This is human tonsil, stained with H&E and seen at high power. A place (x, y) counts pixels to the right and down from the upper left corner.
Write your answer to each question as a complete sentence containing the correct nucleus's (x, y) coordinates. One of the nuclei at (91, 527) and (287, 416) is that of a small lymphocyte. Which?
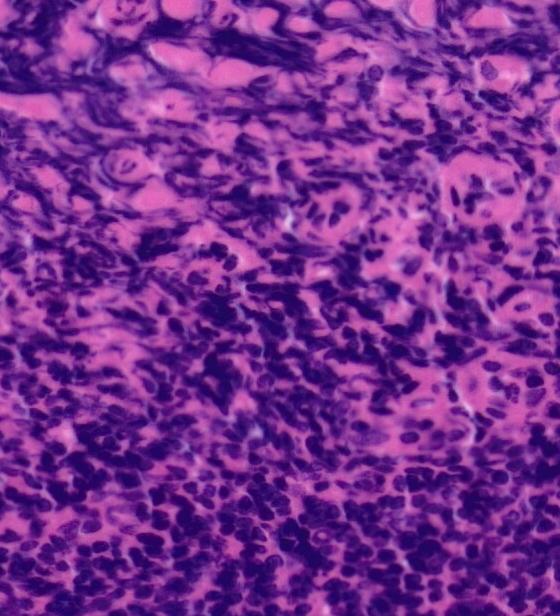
Among the two, the nucleus at (287, 416) is the nucleus of a small lymphocyte.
